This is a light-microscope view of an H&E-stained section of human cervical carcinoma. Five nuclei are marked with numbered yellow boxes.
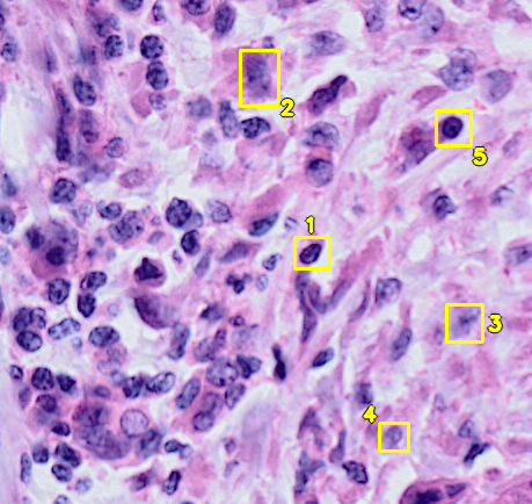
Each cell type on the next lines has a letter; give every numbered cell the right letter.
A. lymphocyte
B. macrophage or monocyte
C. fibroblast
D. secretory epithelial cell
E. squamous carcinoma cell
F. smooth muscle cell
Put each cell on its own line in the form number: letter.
1: A
2: B
3: C
4: C
5: A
